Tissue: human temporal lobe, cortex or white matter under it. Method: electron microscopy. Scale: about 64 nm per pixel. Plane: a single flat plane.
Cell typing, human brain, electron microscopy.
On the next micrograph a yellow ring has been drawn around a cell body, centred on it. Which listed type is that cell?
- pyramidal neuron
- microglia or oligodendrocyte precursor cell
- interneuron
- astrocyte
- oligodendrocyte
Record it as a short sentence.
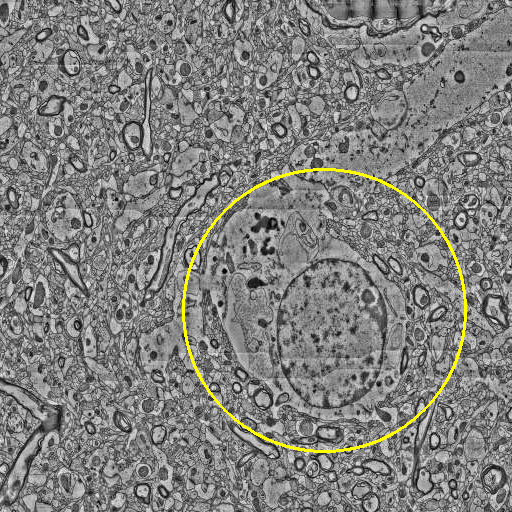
The cell body in the ring's centre belongs to an astrocyte.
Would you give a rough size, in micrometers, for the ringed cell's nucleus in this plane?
Roughly 10 by 7 micrometres in this plane, for the nucleus of the ringed cell.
